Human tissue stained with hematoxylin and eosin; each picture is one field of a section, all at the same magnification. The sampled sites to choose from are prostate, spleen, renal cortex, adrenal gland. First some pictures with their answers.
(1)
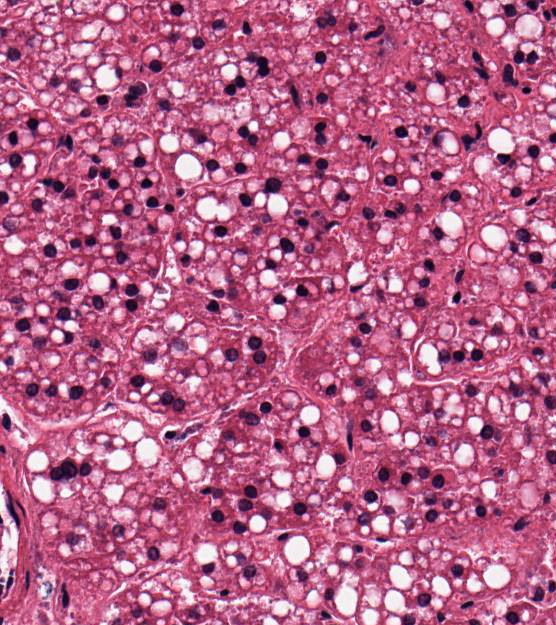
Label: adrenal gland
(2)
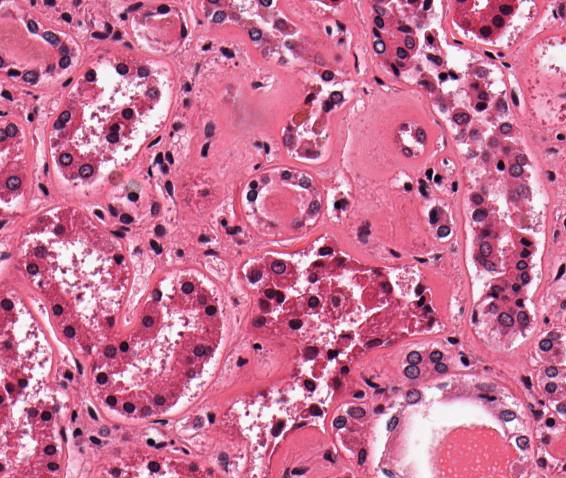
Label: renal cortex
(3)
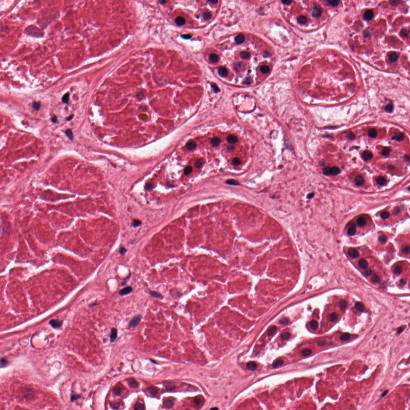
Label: renal cortex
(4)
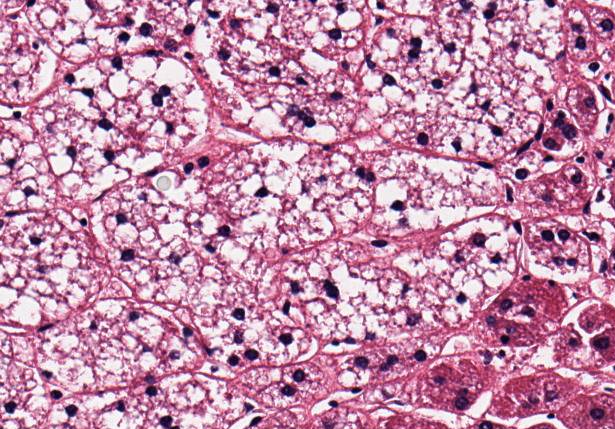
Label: adrenal gland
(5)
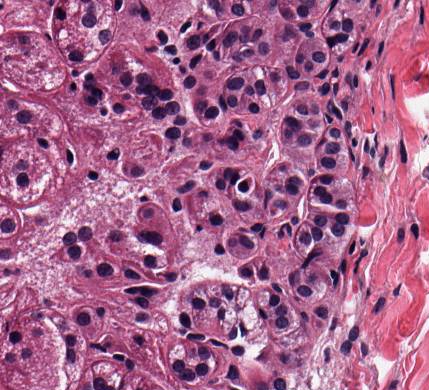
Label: adrenal gland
